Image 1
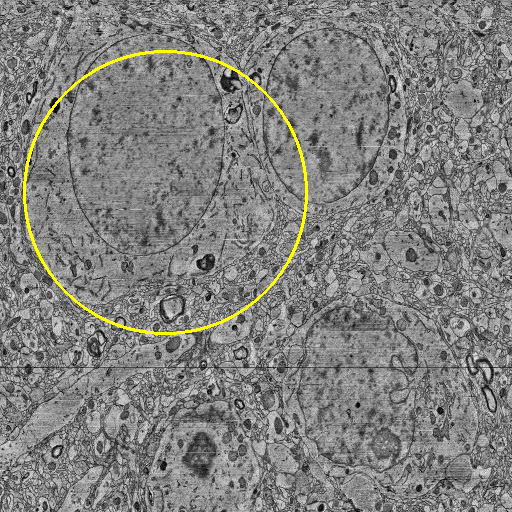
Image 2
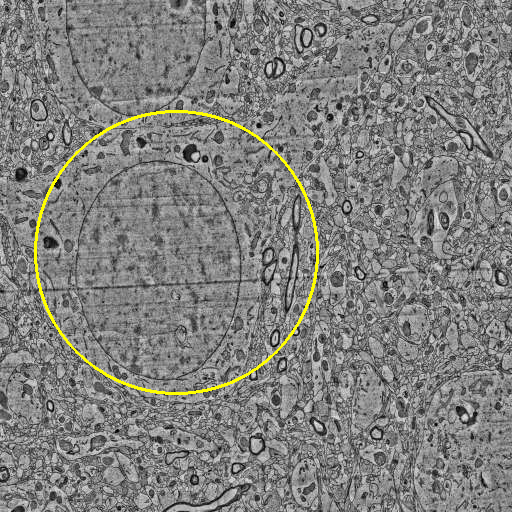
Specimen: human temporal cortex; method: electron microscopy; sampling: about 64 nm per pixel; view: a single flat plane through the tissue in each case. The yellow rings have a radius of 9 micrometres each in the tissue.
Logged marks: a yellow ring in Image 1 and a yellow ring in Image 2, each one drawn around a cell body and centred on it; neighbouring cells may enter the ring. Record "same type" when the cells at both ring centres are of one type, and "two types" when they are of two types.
same type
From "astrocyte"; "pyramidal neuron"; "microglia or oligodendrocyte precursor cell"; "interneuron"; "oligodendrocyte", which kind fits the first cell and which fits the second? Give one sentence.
In the first picture and in the second, the ring is centred on a pyramidal neuron.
